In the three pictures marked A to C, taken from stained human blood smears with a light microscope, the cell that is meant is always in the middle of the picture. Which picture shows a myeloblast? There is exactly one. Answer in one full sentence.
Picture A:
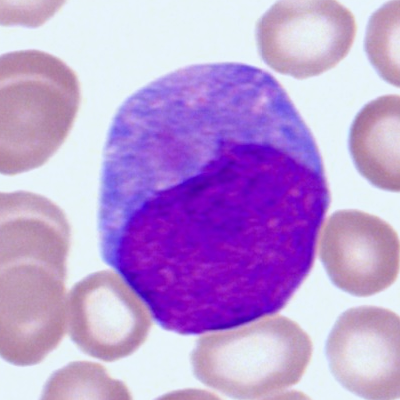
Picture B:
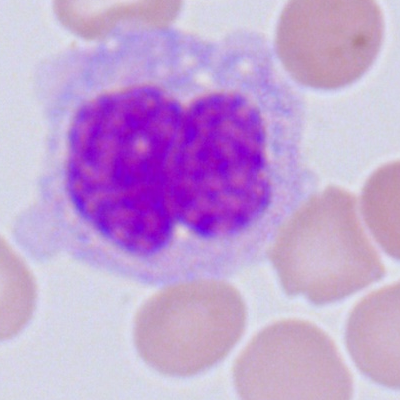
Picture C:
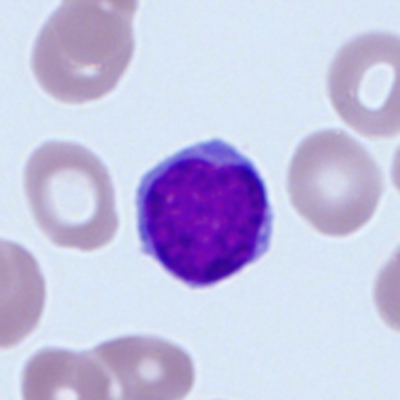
The cell in picture A is the myeloblast.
